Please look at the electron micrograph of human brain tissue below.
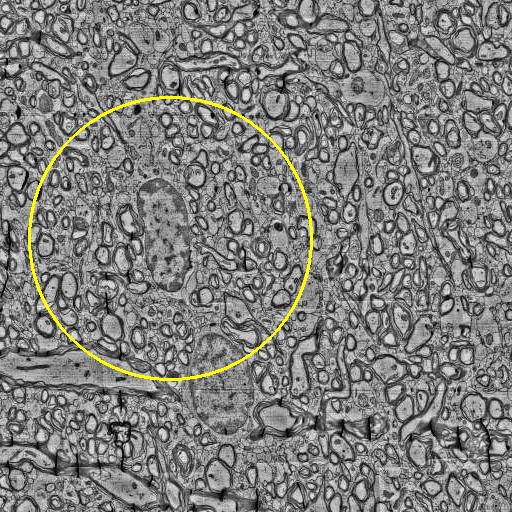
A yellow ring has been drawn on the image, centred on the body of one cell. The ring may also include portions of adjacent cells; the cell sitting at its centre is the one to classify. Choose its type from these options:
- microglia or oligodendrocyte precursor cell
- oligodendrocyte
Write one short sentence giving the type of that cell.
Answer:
The cell in the middle of the ring is a microglial cell or oligodendrocyte precursor cell.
